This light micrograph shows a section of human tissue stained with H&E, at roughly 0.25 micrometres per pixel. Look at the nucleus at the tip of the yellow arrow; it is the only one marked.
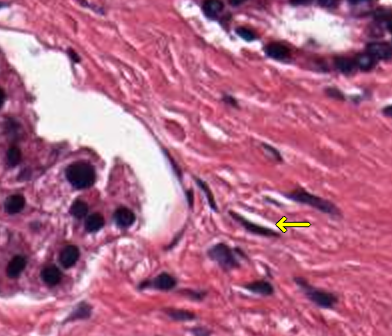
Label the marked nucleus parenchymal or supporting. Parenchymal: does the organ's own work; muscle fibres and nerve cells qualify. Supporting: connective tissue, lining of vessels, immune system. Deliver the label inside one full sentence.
The marked nucleus is designated as the nucleus of a supporting cell.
